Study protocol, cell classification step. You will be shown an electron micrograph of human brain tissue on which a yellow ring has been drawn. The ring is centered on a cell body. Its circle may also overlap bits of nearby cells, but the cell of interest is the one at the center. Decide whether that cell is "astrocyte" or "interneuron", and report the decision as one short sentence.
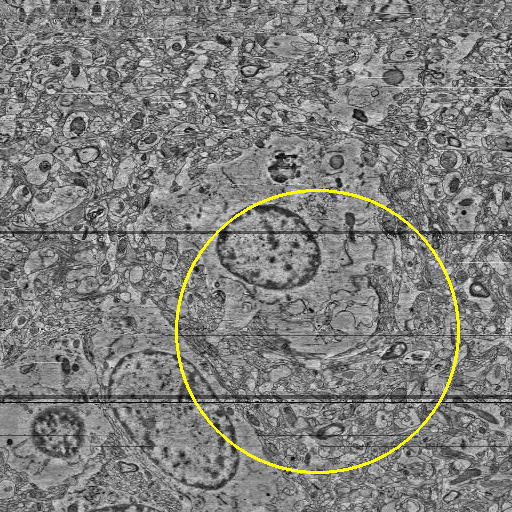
The marked cell is an astrocyte.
